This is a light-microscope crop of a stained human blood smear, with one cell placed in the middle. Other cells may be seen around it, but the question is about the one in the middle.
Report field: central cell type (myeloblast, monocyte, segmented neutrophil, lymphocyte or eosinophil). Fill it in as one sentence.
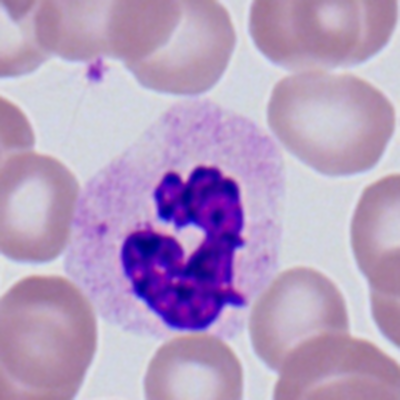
Seen at the centre of the crop is a segmented neutrophil.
